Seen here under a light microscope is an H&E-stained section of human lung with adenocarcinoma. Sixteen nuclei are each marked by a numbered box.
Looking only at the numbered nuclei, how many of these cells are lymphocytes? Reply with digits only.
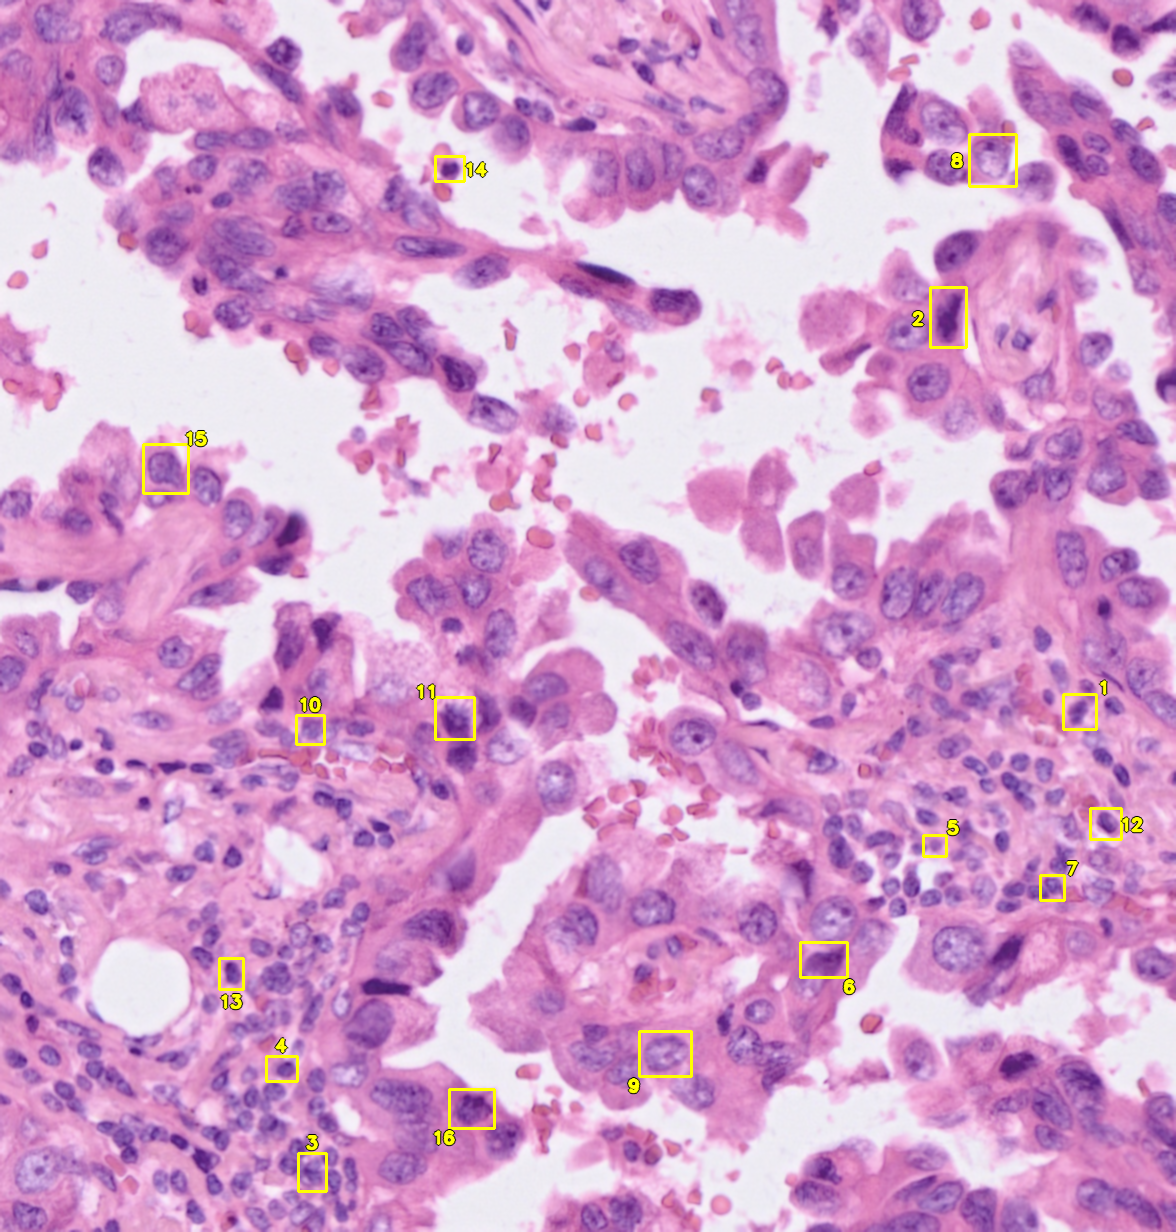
9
